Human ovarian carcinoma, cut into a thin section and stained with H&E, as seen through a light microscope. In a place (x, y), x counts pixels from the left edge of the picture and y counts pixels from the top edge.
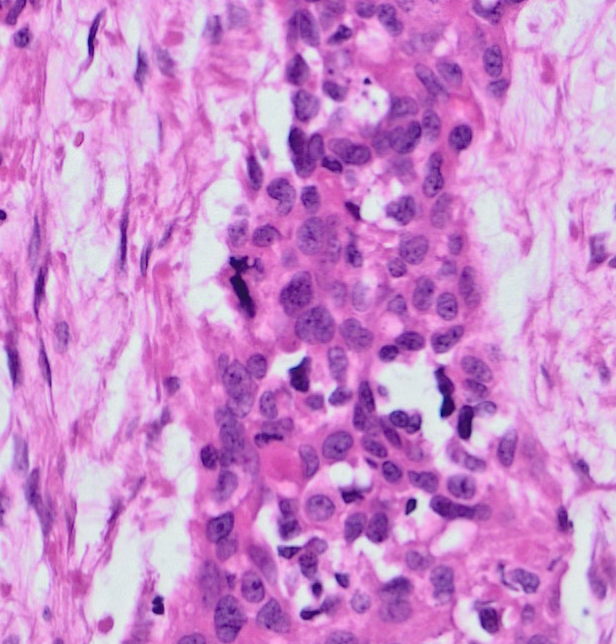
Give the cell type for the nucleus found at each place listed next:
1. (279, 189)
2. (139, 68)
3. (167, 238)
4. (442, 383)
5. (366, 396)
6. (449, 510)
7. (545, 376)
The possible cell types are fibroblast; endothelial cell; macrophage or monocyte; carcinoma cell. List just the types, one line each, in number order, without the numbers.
macrophage or monocyte
fibroblast
fibroblast
carcinoma cell
carcinoma cell
carcinoma cell
fibroblast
